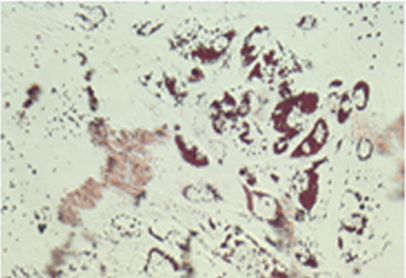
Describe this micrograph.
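A sparser culture of cells is seen, with only a few groups of cells holding dark red-stained droplets. Large parts of the field are pale and unstained, scattered with many small dark granules. A few diffuse pink patches lie among the cells, and some cells show only faint outlines.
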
